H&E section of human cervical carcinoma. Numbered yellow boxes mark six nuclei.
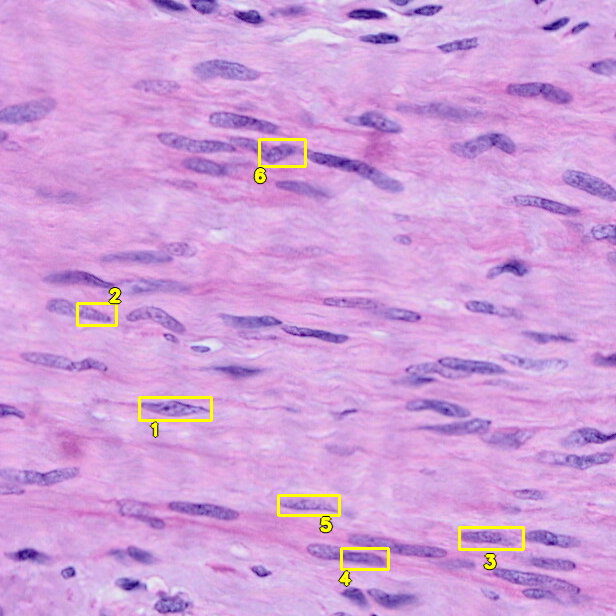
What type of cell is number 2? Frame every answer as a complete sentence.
Marked with the number 2, this cell is a smooth muscle cell.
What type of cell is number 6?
The nucleus labeled 6 belongs to a smooth muscle cell.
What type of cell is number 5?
At number 5, the marked cell is a fibroblast.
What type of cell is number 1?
Identified as a fibroblast is the cell bearing the number 1.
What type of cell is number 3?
At number 3, the marked cell is a smooth muscle cell.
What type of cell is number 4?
The numeral 4 marks a smooth muscle cell in this section.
